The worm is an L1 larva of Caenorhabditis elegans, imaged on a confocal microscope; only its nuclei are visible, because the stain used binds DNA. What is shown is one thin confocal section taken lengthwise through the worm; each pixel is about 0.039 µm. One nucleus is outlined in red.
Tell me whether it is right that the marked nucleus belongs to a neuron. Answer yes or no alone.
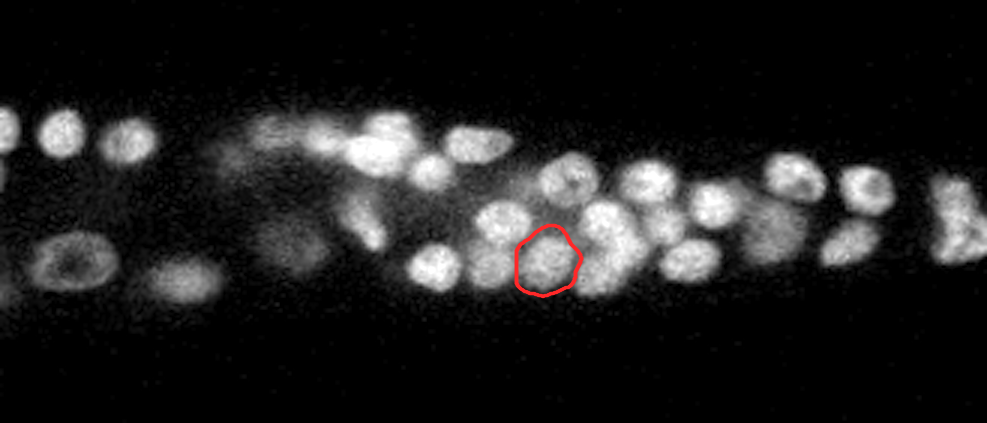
yes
